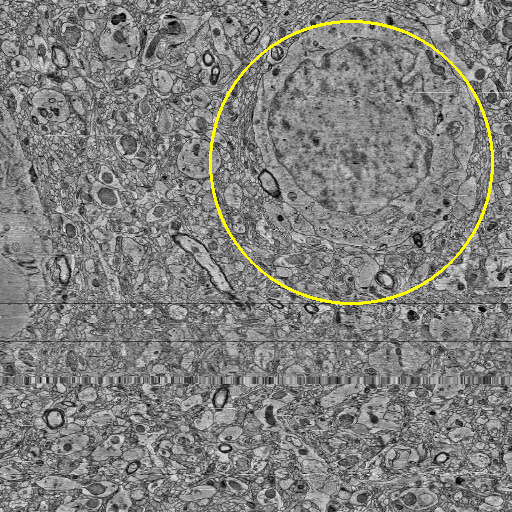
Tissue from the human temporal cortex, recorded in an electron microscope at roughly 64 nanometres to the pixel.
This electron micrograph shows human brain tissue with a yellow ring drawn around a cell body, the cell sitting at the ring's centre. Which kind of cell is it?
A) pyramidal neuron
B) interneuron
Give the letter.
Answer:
B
